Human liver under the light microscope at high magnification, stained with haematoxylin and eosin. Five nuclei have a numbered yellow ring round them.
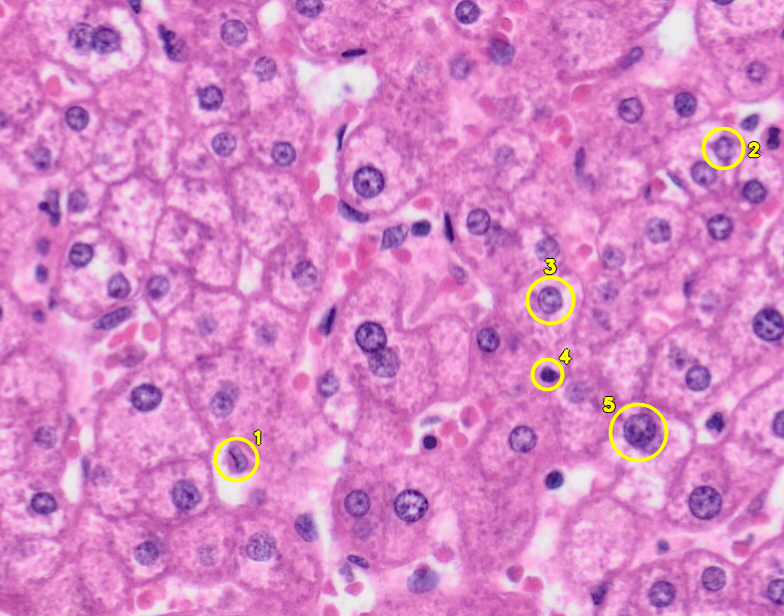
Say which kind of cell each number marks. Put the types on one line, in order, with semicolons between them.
Kupffer cell; hepatocyte; hepatocyte; lymphocyte; hepatocyte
